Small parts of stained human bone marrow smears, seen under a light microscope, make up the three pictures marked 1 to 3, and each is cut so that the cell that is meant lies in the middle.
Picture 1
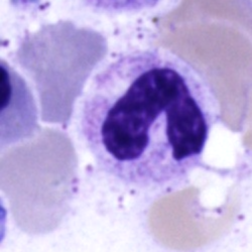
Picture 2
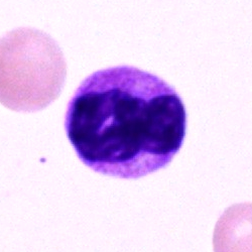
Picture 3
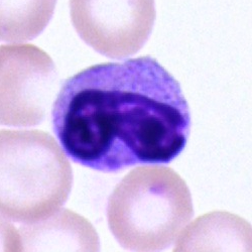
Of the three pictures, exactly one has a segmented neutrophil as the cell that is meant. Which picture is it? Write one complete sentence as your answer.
Picture 2 shows the segmented neutrophil.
